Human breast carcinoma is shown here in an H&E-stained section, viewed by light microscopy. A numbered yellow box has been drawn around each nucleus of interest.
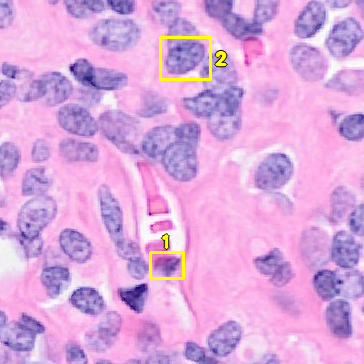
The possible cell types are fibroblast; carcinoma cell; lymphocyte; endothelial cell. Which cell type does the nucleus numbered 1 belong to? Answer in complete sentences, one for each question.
The cell identified by number 1 is an endothelial cell.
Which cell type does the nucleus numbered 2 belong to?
Cell number 2 in this section is a carcinoma cell.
